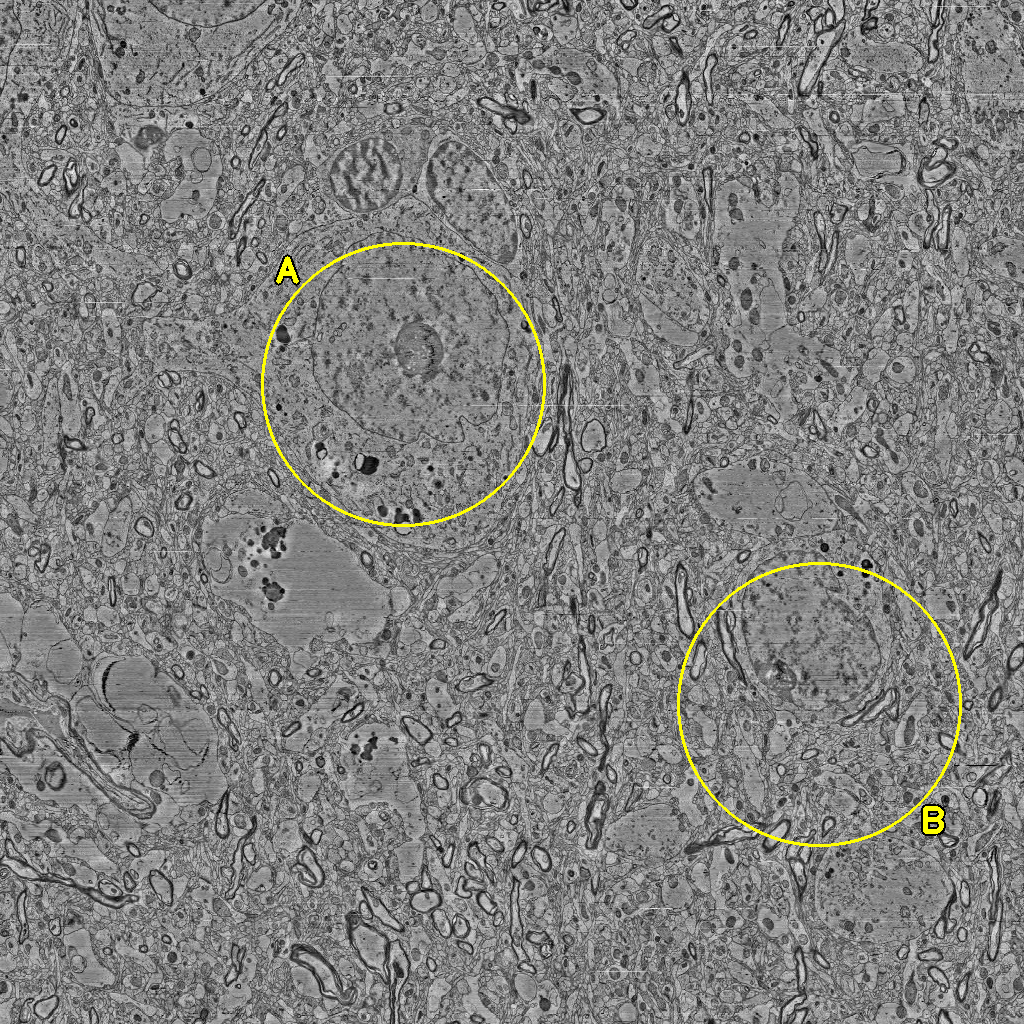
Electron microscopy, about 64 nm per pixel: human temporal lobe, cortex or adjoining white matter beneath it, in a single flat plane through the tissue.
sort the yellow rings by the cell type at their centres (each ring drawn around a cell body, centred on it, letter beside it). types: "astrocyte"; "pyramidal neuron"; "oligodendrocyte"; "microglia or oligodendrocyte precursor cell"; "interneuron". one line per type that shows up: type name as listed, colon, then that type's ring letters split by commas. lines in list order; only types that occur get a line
pyramidal neuron: A
interneuron: B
